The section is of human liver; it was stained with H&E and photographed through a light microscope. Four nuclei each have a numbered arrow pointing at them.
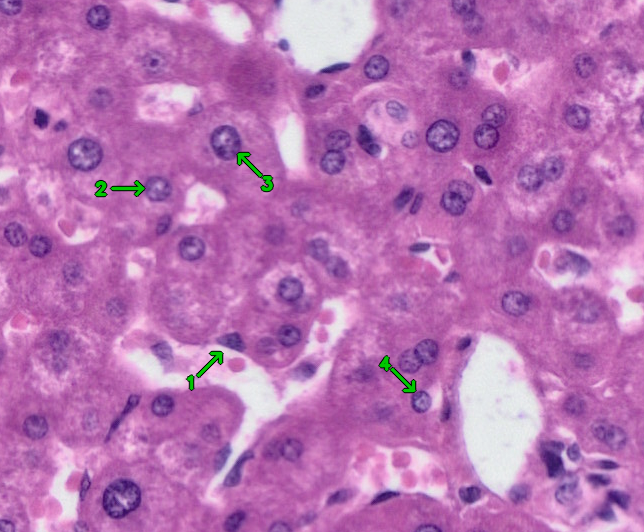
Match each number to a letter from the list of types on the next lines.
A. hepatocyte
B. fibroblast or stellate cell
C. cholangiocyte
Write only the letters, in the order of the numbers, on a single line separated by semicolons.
B; A; A; C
